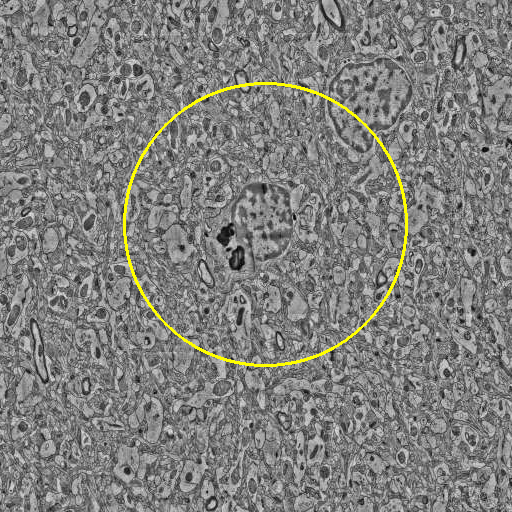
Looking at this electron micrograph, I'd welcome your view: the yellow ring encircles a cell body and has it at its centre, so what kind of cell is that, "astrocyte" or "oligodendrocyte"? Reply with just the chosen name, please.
oligodendrocyte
